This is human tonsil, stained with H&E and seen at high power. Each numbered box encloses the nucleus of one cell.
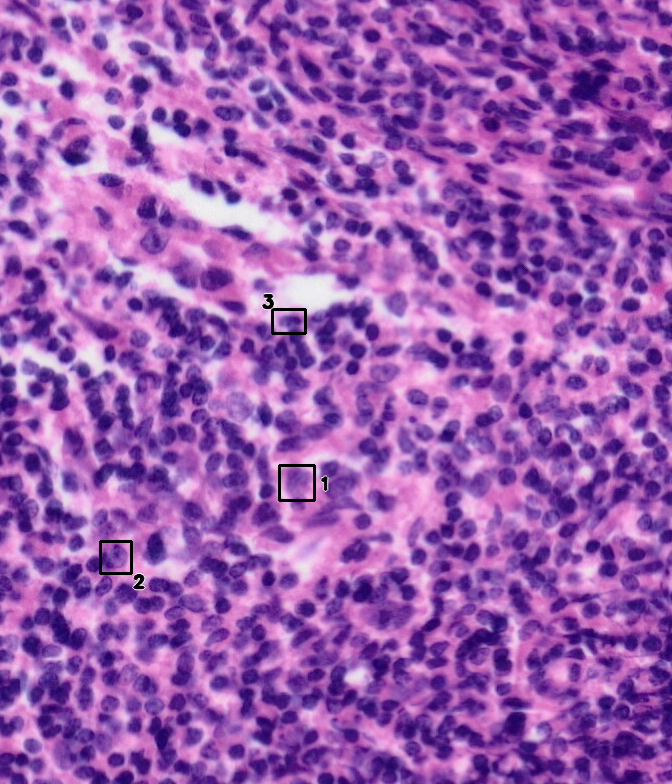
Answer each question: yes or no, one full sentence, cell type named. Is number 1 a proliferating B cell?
Yes, the cell labelled with number 1 is a proliferating B cell.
